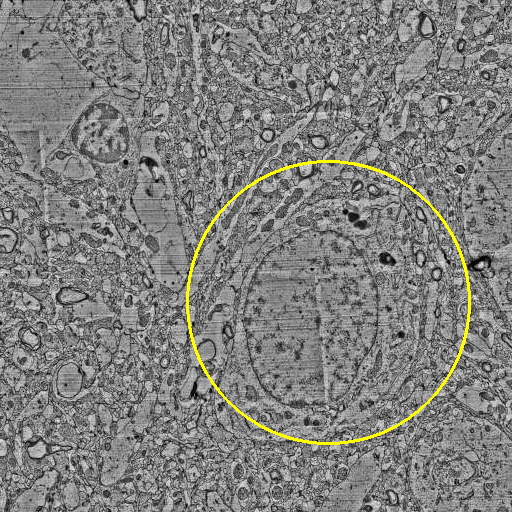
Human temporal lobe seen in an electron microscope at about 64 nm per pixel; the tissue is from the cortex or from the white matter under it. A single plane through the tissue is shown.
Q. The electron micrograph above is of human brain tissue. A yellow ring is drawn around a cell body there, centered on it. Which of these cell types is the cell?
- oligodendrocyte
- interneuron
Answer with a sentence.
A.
The cell under the ring's center is an interneuron.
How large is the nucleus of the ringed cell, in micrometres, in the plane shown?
The ringed cell's nucleus measures approximately 11 by 9 micrometres in this plane.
